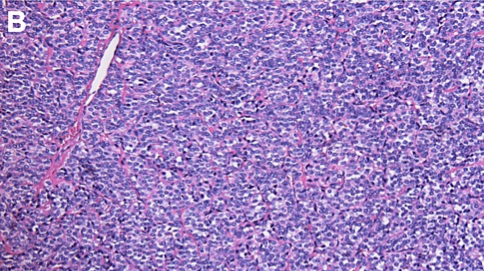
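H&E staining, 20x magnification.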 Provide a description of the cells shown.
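A densely cellular tumor made of small, uniform, rounded cells fills the field in sheets and nests. The nuclei are small, round and dark purple, closely spaced and similar in size. Thin pink strands of stroma and delicate vessels, including a narrow open vessel at upper left, run between the cell groups.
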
